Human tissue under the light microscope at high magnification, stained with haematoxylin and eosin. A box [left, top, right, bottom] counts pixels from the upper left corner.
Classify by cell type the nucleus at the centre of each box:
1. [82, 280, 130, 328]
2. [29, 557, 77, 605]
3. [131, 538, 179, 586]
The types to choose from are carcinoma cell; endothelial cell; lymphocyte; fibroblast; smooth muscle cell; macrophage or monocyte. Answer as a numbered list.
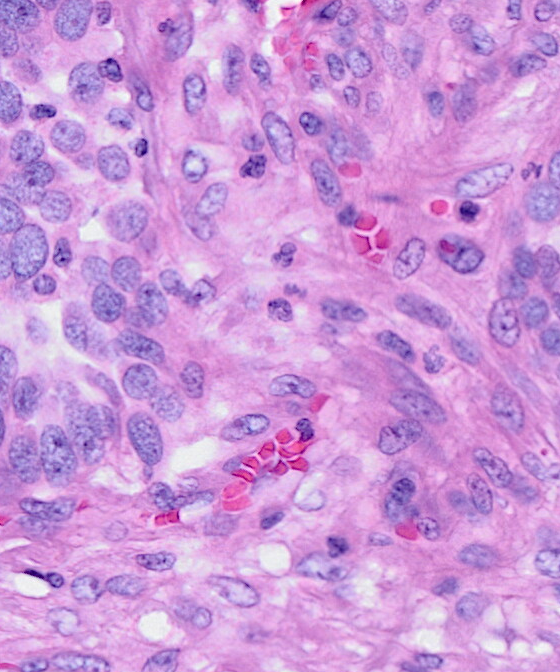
1. carcinoma cell
2. macrophage or monocyte
3. macrophage or monocyte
